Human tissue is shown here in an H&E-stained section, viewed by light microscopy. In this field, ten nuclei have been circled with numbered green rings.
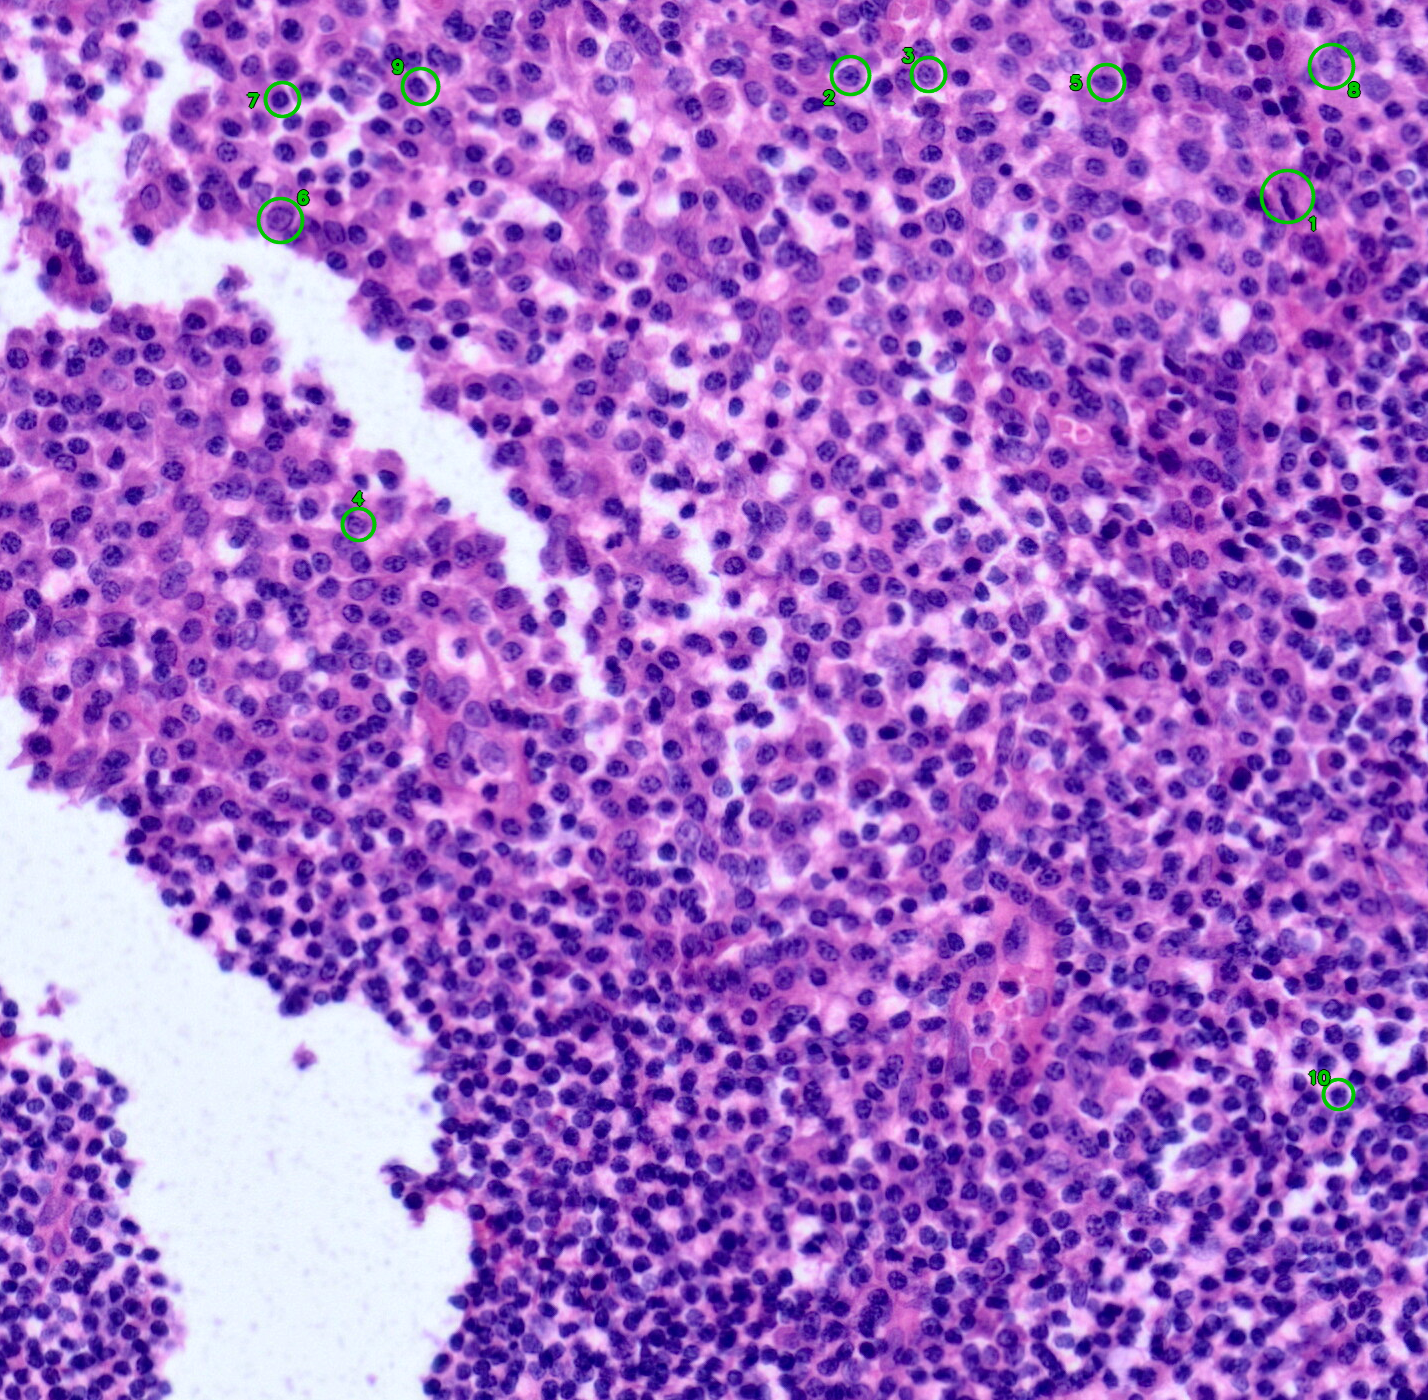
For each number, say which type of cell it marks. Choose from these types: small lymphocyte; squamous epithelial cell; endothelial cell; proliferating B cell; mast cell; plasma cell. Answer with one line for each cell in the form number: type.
1: squamous epithelial cell
2: plasma cell
3: plasma cell
4: plasma cell
5: plasma cell
6: squamous epithelial cell
7: plasma cell
8: squamous epithelial cell
9: plasma cell
10: small lymphocyte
